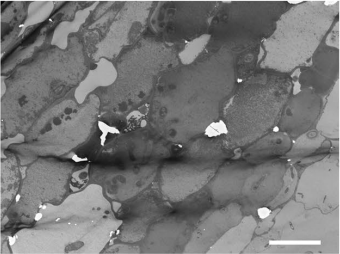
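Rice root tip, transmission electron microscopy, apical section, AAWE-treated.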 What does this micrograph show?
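The cells look stretched and irregular rather than rounded. Scattered small bright white gaps lie among and within the cells. No large, clear, rounded vacuoles stand out. The tissue as a whole looks compressed and disorganised rather than made of evenly rounded cells.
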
